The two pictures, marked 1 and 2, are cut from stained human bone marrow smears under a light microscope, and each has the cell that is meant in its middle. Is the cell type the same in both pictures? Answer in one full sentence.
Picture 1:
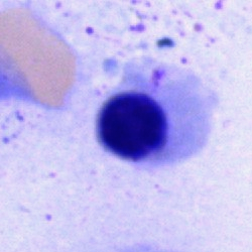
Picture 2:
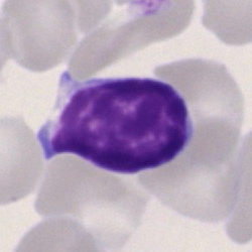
No, the types are not the same, since picture 1 shows an erythroblast and picture 2 a lymphocyte.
